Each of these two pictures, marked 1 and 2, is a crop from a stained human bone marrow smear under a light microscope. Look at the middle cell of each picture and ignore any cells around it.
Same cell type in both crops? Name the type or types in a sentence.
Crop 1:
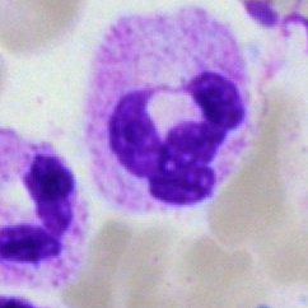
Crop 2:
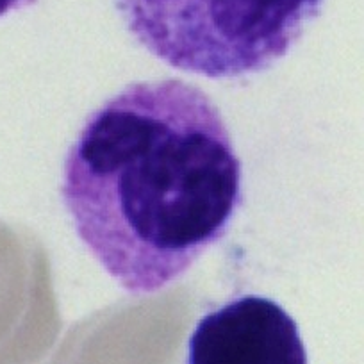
Yes, the cells under consideration in both crops are segmented neutrophils.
